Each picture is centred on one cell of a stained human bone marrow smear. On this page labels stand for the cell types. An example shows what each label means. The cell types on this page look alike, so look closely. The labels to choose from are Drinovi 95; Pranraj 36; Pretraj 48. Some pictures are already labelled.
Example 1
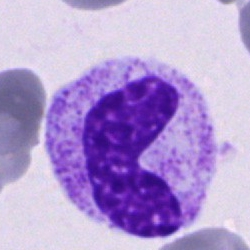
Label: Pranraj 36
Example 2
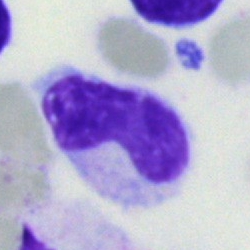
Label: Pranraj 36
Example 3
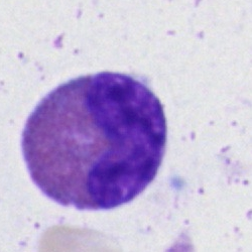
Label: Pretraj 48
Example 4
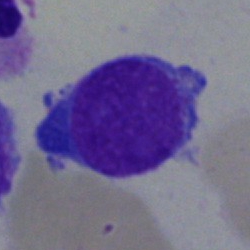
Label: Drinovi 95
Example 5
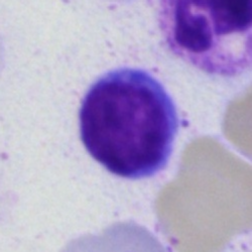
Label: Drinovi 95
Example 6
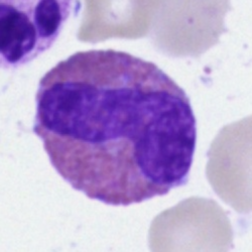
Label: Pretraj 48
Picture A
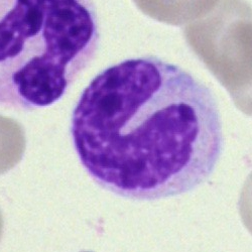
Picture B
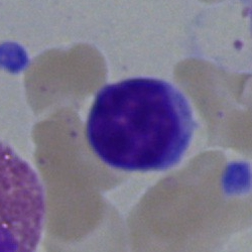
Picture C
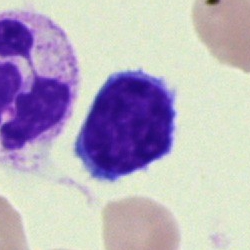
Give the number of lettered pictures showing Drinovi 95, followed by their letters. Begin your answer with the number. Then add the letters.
2, namely B, C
